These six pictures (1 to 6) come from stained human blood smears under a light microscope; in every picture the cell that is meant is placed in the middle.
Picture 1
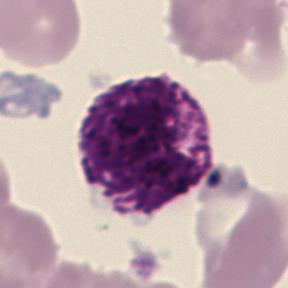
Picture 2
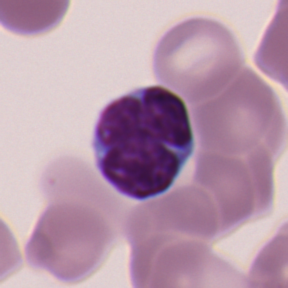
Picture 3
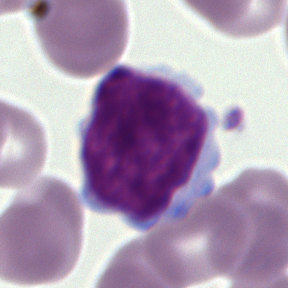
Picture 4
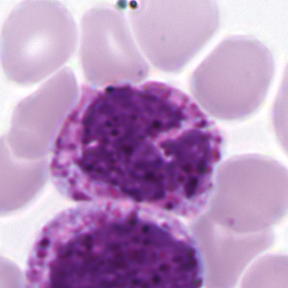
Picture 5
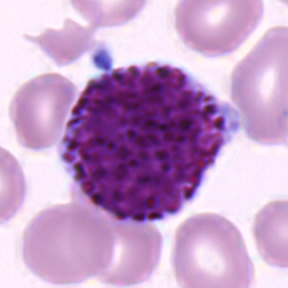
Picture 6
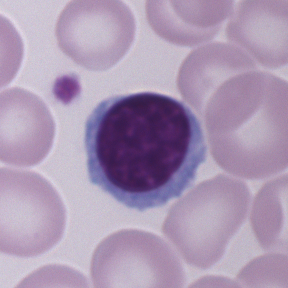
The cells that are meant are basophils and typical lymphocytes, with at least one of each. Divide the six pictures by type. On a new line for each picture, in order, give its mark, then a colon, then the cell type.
1: basophil
2: typical lymphocyte
3: typical lymphocyte
4: basophil
5: basophil
6: typical lymphocyte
